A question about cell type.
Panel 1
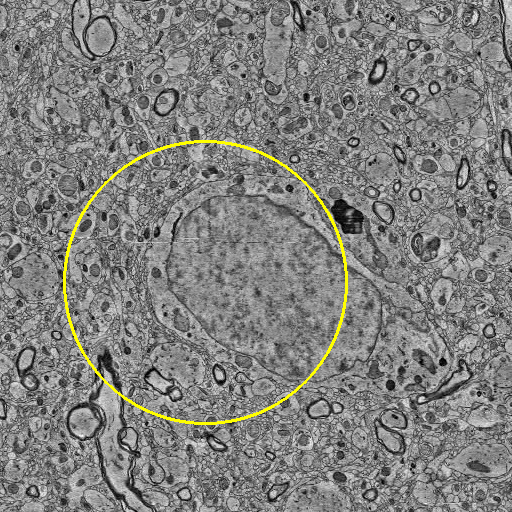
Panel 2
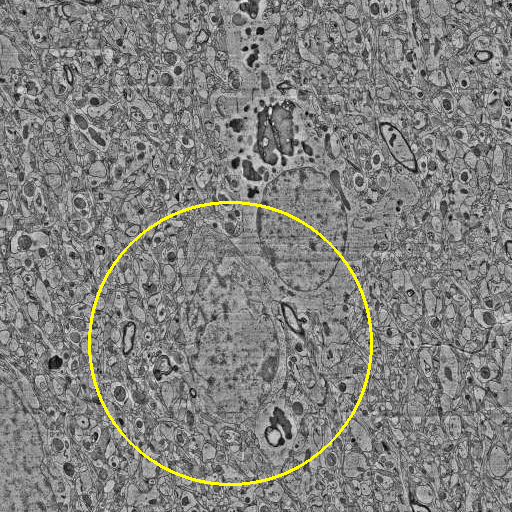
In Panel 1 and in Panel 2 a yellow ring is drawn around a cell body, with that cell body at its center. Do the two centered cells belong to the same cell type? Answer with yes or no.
yes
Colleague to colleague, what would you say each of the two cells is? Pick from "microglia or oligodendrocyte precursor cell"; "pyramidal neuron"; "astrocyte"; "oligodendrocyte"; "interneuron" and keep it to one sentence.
Both rings mark an interneuron, one in each picture.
